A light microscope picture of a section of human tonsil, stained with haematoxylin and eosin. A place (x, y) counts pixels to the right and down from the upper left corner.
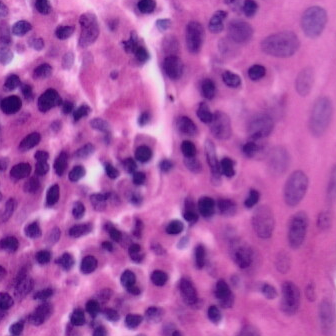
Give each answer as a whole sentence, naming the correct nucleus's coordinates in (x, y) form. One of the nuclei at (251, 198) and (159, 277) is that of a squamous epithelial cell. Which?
The nucleus lying at (251, 198) is the nucleus of a squamous epithelial cell.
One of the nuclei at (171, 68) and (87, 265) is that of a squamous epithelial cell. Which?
Of the two nuclei, the one sitting at (171, 68) belongs to a squamous epithelial cell.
